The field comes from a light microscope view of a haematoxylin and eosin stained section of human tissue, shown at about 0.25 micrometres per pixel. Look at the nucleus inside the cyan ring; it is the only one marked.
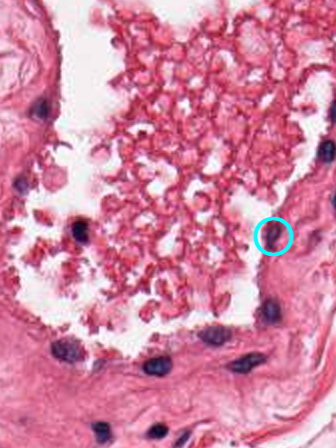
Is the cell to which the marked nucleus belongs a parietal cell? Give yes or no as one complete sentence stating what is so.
No, the marked nucleus is to be assigned to a supporting cell, not to a parietal cell.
